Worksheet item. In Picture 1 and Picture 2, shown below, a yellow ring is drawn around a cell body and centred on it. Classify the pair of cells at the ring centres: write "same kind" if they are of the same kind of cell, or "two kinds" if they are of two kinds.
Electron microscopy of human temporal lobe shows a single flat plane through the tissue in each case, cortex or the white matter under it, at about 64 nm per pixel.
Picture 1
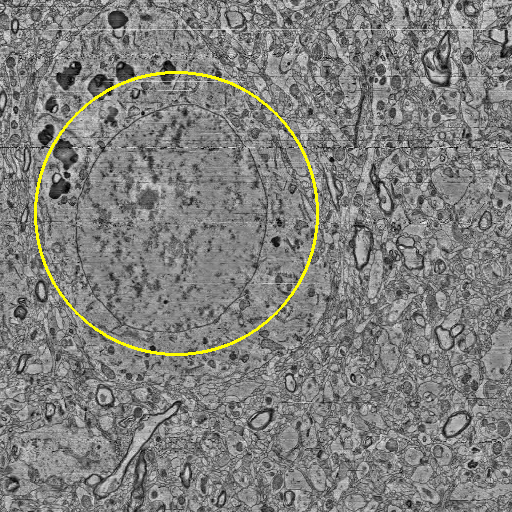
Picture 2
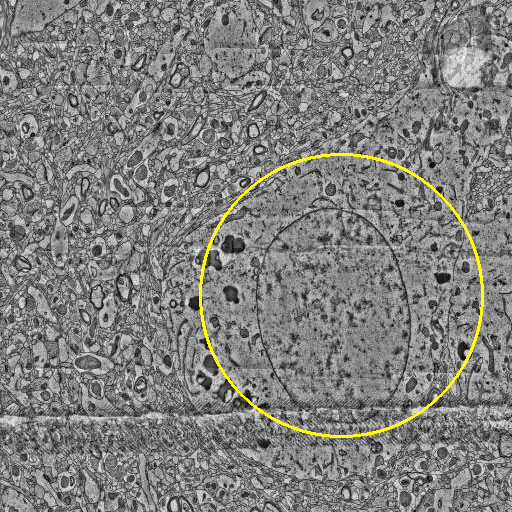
same kind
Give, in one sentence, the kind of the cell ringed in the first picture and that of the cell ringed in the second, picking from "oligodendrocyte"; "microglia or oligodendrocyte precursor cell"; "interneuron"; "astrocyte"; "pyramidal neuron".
Each one of the two ringed cells is a pyramidal neuron.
